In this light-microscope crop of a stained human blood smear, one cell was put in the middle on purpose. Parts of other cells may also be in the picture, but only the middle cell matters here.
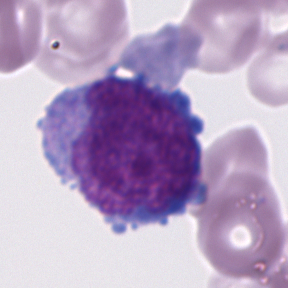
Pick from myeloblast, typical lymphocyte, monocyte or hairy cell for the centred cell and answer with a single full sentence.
For this crop, the cell in the middle is a myeloblast.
